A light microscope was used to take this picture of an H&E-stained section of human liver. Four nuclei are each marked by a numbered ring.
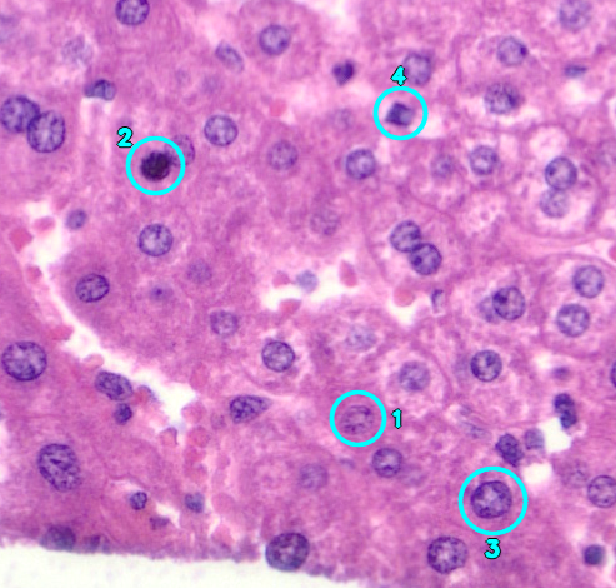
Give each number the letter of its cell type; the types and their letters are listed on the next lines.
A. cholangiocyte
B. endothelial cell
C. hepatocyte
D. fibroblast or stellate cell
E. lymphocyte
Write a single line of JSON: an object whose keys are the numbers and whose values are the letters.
{"1": "C", "2": "C", "3": "C", "4": "B"}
